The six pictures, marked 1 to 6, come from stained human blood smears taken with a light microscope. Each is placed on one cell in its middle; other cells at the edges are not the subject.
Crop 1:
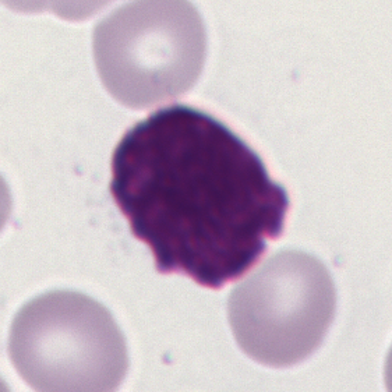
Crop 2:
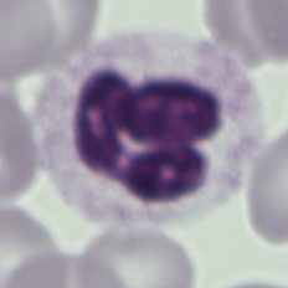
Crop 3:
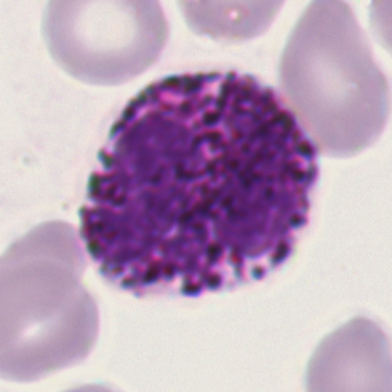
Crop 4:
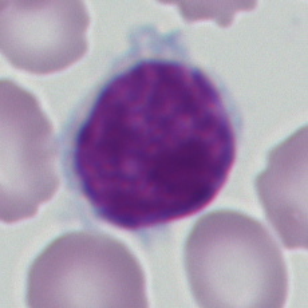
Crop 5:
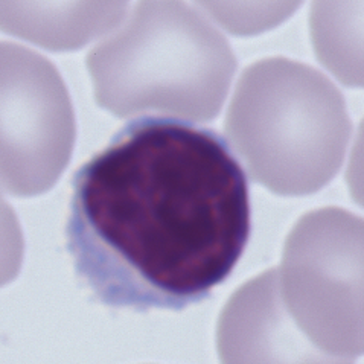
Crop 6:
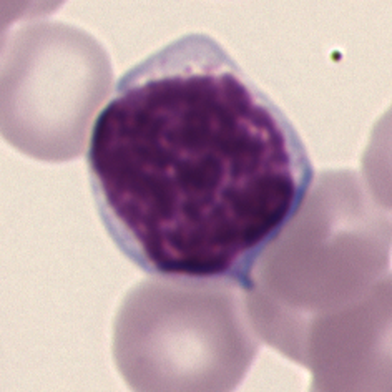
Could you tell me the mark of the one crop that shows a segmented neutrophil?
2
